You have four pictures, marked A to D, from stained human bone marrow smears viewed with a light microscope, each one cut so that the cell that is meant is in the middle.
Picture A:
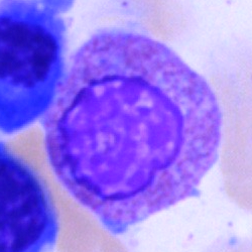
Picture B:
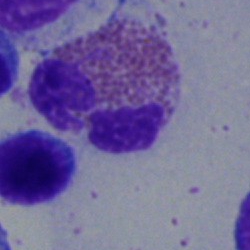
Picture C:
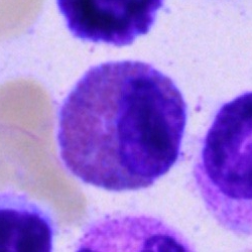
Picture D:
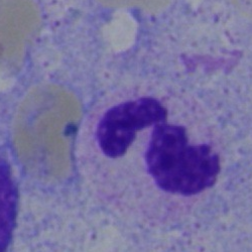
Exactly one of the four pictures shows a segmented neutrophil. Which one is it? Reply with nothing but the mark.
D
